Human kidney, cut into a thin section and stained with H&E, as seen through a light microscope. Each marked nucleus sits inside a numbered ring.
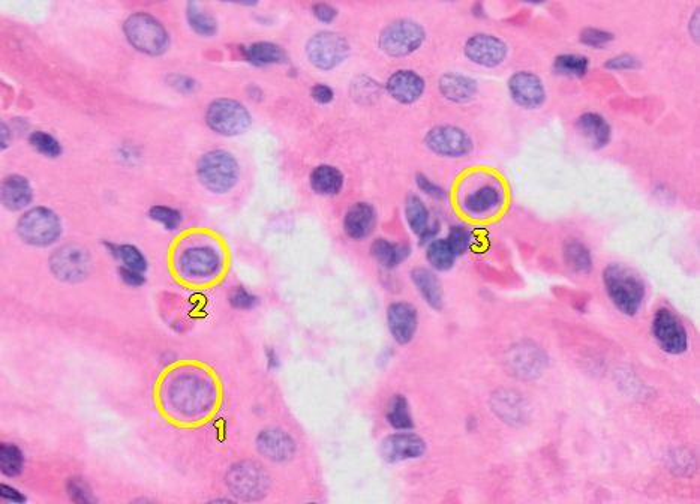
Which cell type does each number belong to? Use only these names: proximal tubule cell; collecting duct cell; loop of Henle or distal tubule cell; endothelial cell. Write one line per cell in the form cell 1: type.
cell 1: proximal tubule cell
cell 2: loop of Henle or distal tubule cell
cell 3: loop of Henle or distal tubule cell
